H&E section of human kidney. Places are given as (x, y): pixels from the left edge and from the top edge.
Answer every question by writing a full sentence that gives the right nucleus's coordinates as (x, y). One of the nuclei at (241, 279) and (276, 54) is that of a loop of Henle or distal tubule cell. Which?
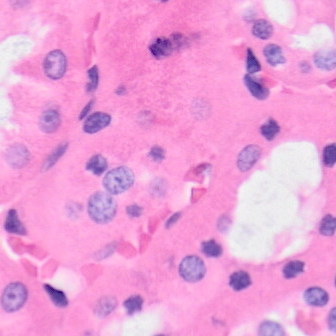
The nucleus at (241, 279) is assigned to a loop of Henle or distal tubule cell.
